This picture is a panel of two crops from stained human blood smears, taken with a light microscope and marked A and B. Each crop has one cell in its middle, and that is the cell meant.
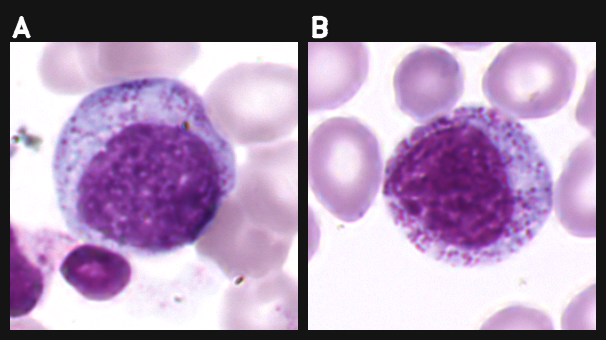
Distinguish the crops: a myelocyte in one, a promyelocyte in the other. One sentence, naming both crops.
Among the crops, crop A is a promyelocyte and crop B is a myelocyte.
